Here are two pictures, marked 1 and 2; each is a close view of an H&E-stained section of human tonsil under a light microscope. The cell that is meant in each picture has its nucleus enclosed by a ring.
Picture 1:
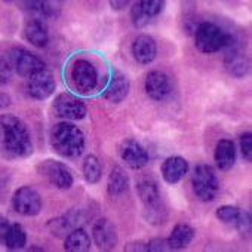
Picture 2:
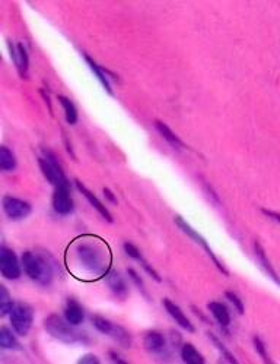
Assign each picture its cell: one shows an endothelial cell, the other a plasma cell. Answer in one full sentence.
The cell in picture 1 is a plasma cell, and the one in picture 2 is an endothelial cell.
